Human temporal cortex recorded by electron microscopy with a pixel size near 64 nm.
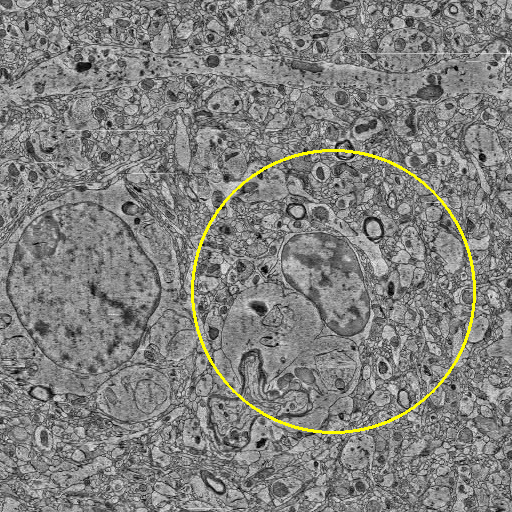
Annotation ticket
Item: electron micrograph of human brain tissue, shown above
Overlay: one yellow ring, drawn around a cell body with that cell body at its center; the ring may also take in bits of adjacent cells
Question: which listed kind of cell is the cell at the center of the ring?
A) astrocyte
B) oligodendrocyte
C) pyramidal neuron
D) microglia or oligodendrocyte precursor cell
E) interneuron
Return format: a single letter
D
